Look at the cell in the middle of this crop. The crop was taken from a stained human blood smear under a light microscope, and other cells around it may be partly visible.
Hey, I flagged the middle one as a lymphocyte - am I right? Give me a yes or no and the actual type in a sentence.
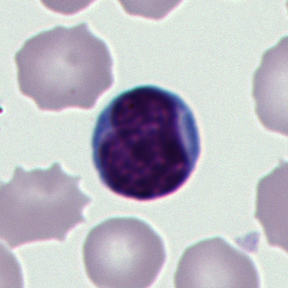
Yes, the cell at the centre of this crop is identified as a lymphocyte.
